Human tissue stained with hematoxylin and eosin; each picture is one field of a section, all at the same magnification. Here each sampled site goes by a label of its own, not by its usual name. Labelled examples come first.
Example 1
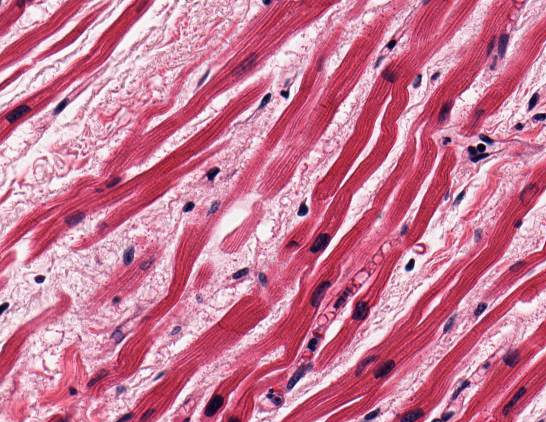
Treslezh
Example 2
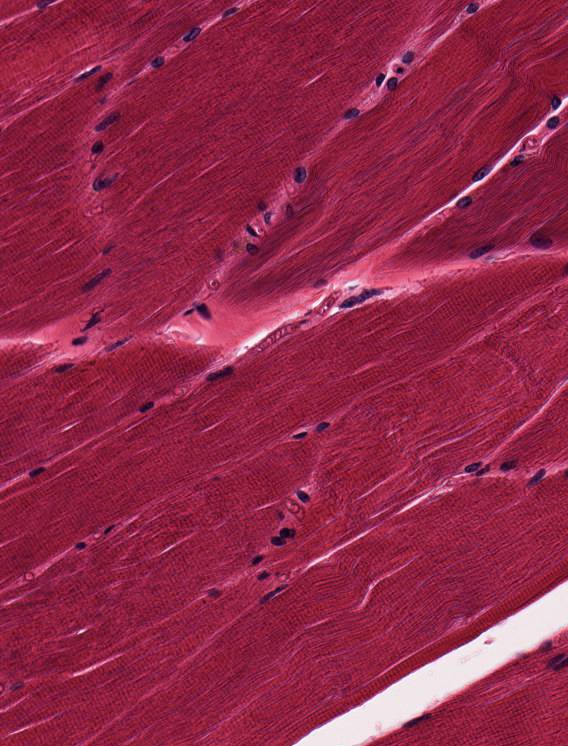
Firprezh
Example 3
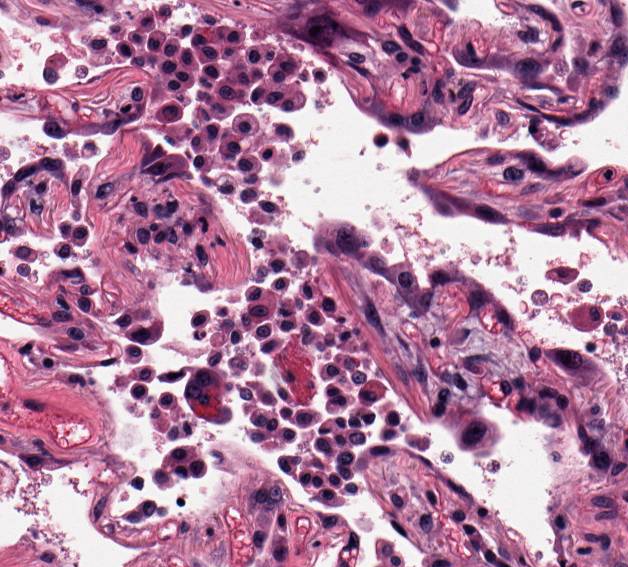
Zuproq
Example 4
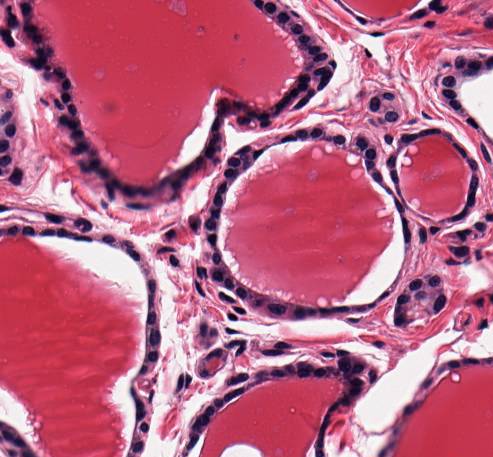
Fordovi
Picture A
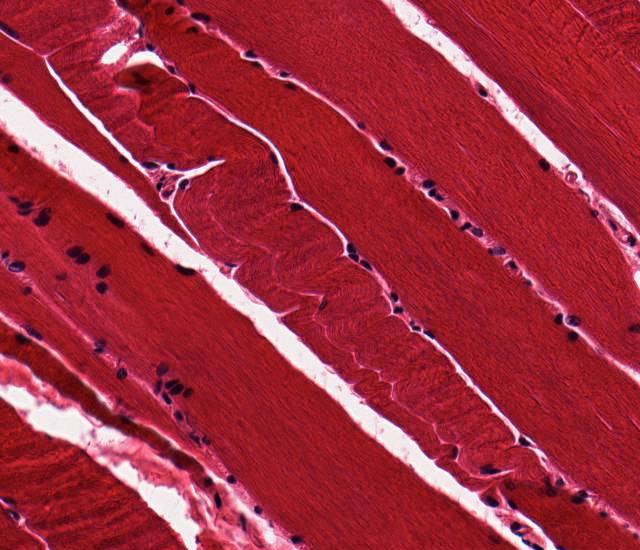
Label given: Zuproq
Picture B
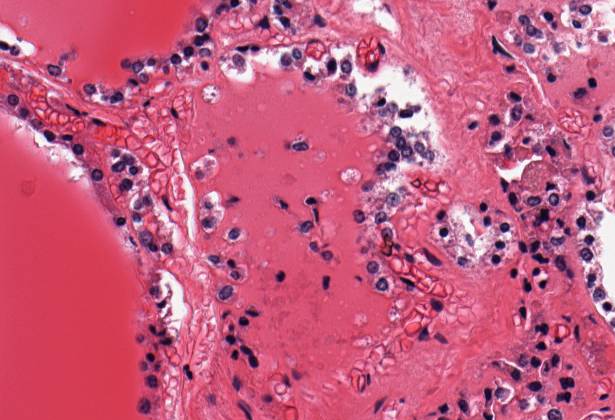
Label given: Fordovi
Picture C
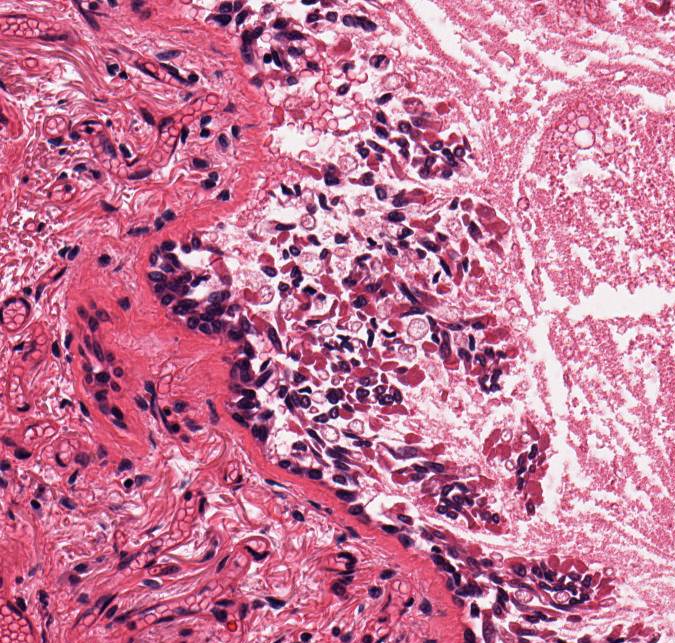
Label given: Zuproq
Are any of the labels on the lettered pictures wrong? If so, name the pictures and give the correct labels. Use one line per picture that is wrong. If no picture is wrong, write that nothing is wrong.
A: change Zuproq to Firprezh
